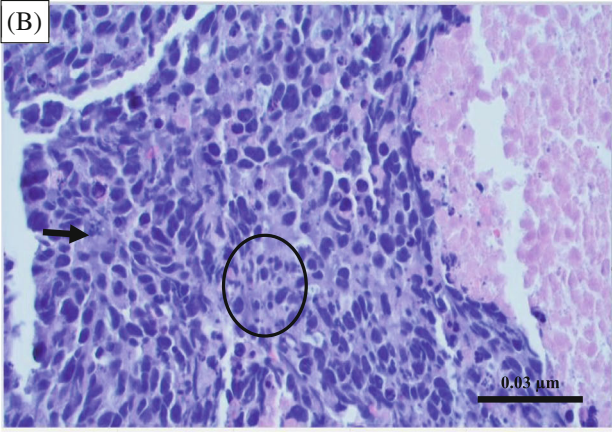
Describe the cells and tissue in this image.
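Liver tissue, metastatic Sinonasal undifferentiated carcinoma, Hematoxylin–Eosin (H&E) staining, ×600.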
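This is a sheet of high grade tumour cells packed tightly together, with pink necrotic material along the right edge. Scattered among them are a few small, dark, condensed nuclei.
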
